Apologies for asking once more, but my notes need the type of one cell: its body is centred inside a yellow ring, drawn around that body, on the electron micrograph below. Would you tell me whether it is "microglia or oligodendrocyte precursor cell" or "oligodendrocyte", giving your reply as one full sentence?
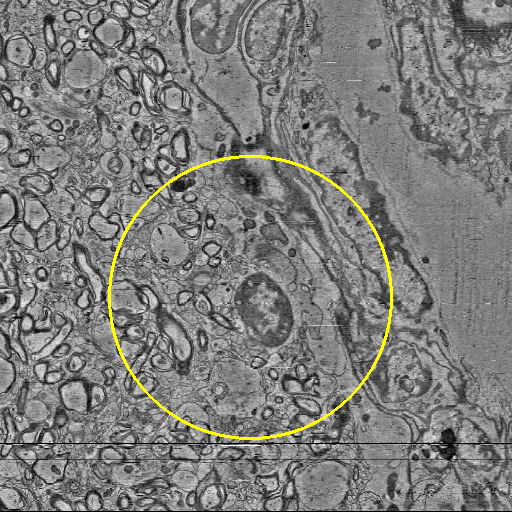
The cell that the yellow ring is centred on is a microglial cell or oligodendrocyte precursor cell in this micrograph.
